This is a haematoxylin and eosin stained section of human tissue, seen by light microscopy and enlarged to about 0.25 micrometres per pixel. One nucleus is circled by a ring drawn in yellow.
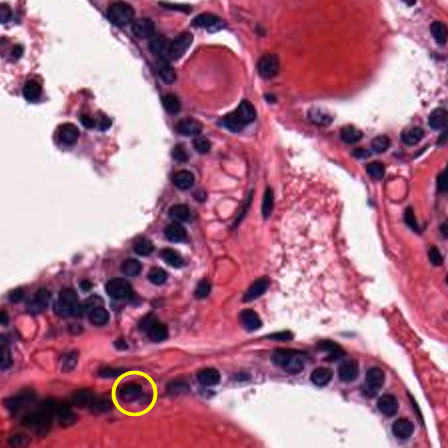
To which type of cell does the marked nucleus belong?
thyroid follicular cell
